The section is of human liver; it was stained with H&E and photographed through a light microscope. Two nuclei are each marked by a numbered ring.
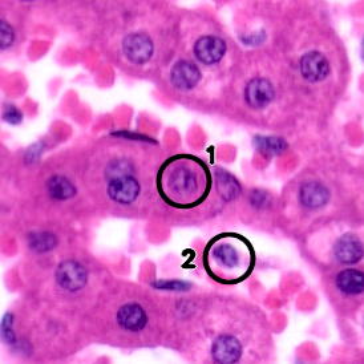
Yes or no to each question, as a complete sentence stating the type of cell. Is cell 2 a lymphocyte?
Yes, the cell with the number 2 is a lymphocyte.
